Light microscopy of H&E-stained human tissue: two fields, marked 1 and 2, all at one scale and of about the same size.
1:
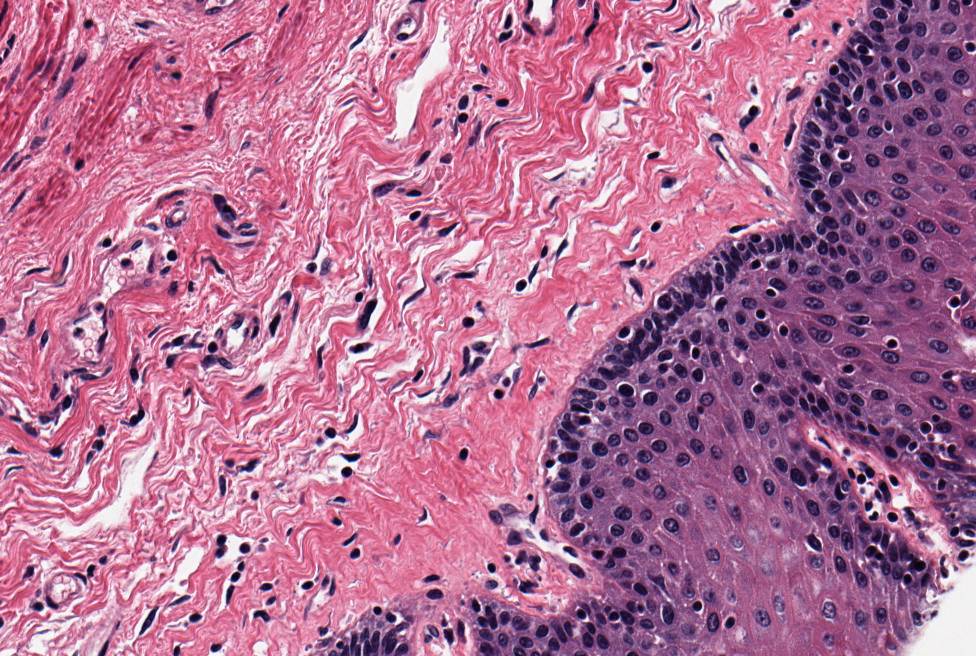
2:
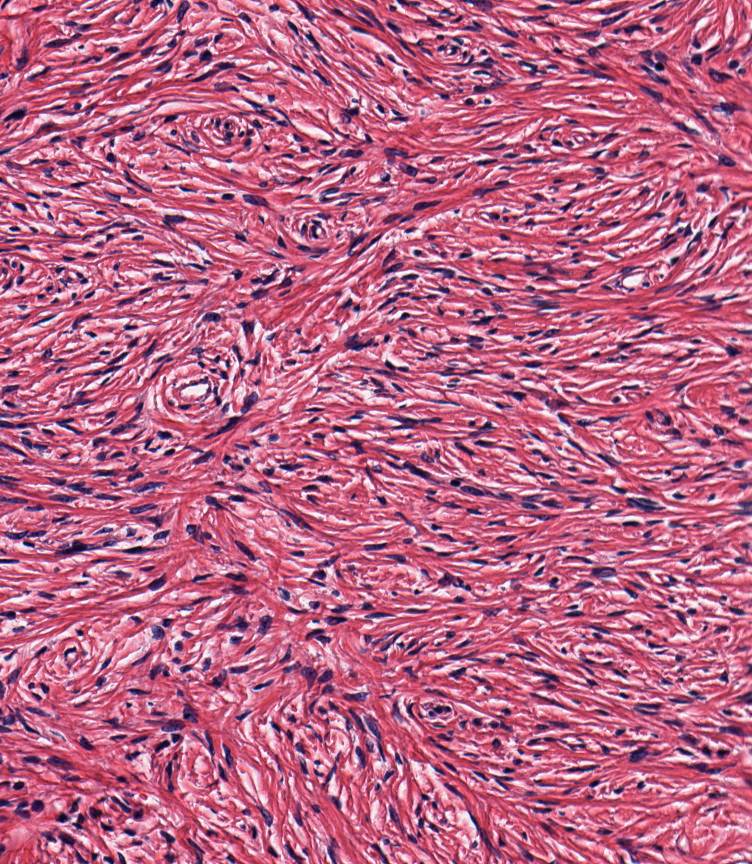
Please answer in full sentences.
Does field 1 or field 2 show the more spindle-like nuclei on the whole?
The nuclei are more elongated in field 2.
